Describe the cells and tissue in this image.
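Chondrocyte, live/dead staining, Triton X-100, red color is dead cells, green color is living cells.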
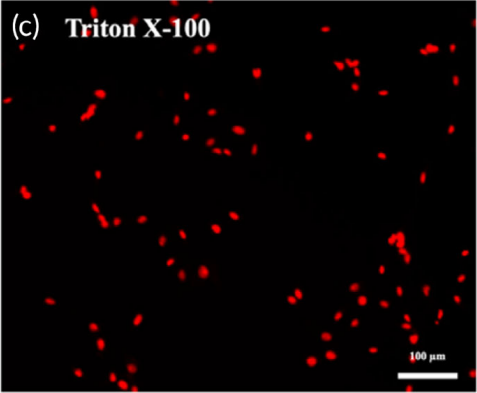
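None has spread cytoplasm or processes, and no green-fluorescent cells remain. Some red bodies lie singly, others in small clusters of two or three.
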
